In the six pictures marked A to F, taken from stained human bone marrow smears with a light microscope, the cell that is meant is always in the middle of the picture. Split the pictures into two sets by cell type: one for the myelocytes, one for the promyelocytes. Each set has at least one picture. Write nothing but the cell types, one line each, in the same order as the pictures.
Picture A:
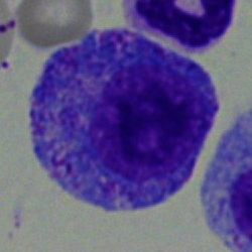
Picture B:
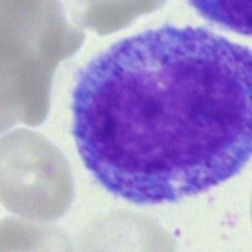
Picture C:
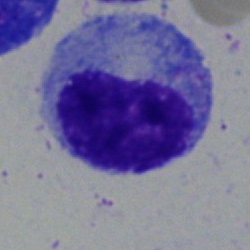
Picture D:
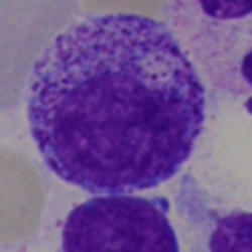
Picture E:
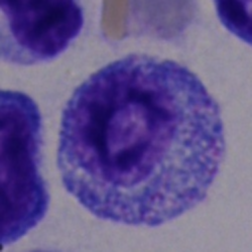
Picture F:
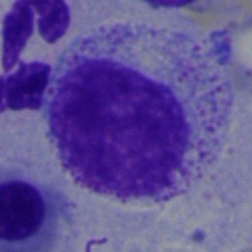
promyelocyte
promyelocyte
myelocyte
myelocyte
myelocyte
myelocyte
